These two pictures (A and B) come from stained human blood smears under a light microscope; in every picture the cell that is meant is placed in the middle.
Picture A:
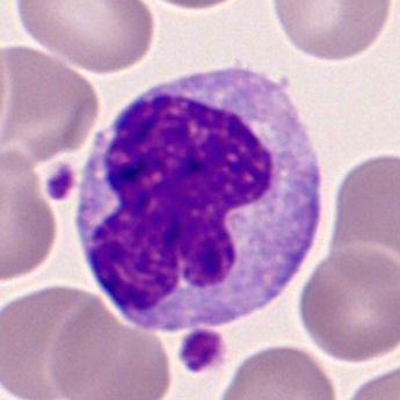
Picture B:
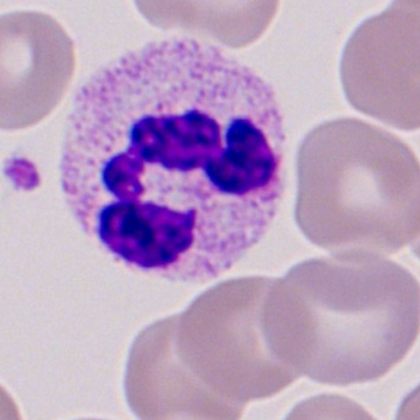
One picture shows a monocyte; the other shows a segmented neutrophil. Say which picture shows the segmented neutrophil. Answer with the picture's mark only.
B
